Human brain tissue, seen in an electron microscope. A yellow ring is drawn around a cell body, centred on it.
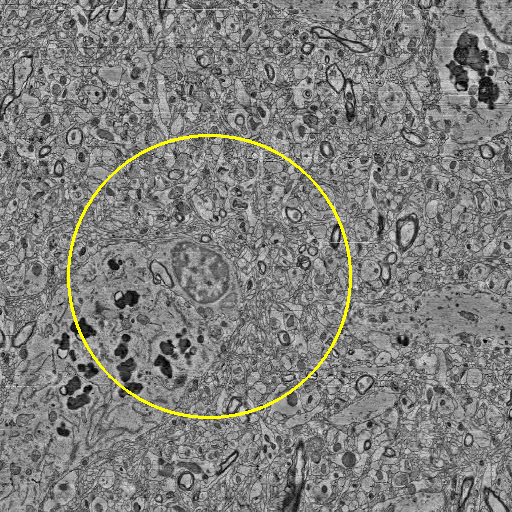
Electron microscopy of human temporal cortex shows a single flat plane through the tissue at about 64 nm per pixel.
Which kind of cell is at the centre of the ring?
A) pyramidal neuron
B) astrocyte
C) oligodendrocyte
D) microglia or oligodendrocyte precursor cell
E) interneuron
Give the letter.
C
